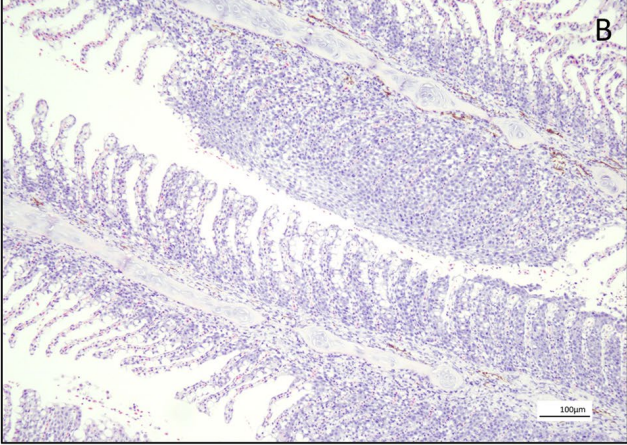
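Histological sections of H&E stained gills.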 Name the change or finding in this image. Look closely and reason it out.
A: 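Several areas of filament where lamellae are buried in a thick mass of epithelial cells. Other stretches of the same filaments keep free lamellae. That points to this answer: multifocal lamellar fusion and epithelial hyperplasia.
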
